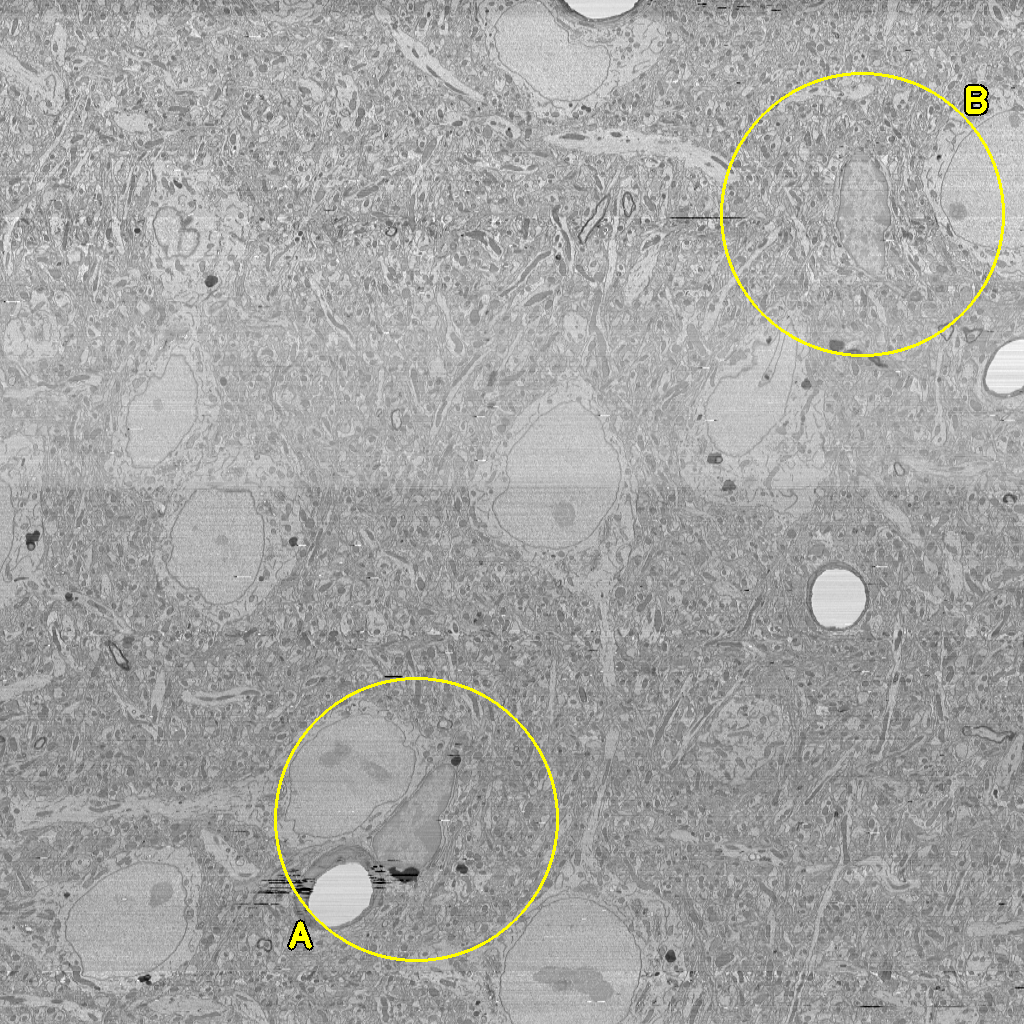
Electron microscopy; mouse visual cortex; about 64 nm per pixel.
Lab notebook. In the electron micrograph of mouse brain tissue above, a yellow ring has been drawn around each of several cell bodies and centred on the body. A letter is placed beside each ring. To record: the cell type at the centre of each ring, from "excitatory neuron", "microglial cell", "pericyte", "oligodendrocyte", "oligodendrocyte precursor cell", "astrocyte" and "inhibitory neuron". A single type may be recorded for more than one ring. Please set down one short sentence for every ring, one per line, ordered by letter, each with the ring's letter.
The centre of ring A is occupied by a microglial cell.
The centre of ring B is occupied by a microglial cell.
